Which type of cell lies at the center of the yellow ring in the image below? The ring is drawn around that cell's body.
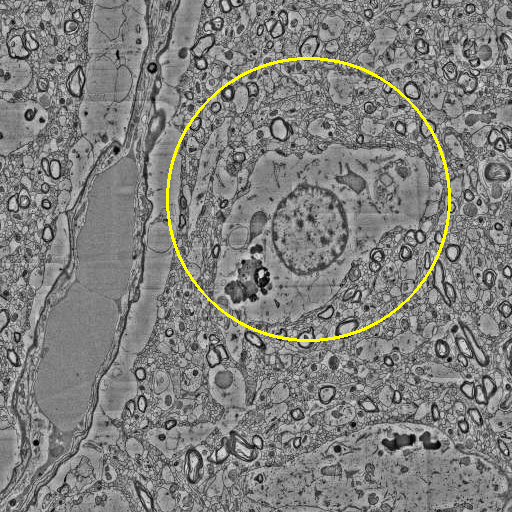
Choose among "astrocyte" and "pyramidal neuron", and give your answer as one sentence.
The cell body at the center belongs to an astrocyte.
